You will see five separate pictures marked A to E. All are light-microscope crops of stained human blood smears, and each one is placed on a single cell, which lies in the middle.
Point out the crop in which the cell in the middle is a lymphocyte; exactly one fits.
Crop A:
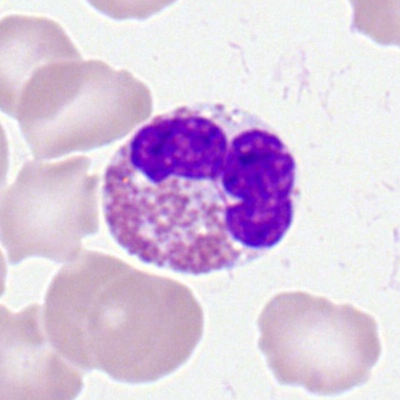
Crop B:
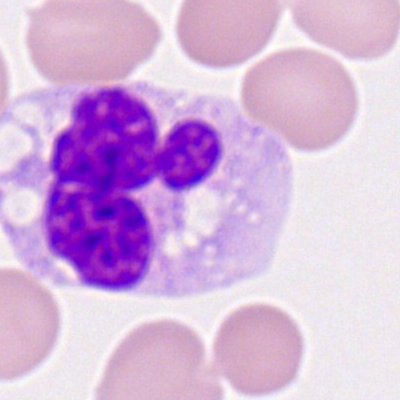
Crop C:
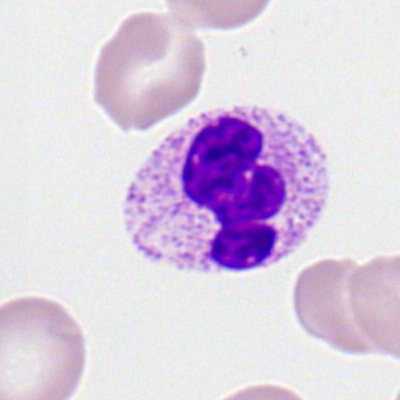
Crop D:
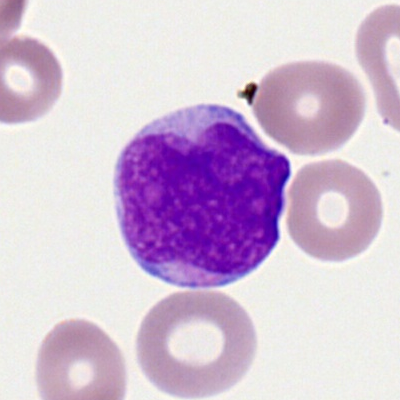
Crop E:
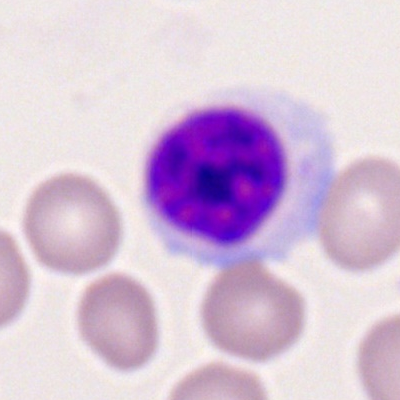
E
